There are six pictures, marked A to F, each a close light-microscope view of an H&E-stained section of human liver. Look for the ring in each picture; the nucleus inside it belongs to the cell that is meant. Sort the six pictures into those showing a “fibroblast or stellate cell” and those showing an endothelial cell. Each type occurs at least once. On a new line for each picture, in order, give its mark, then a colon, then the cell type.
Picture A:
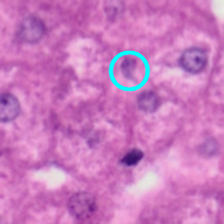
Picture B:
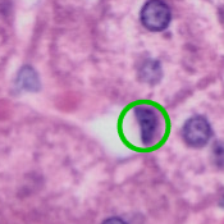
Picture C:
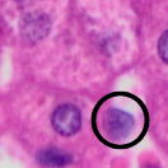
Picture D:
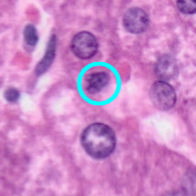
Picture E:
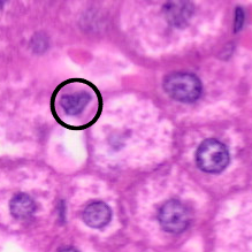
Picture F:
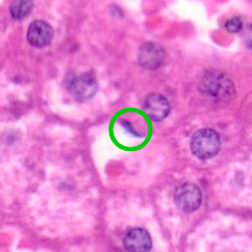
A: endothelial cell
B: endothelial cell
C: endothelial cell
D: fibroblast or stellate cell
E: fibroblast or stellate cell
F: endothelial cell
